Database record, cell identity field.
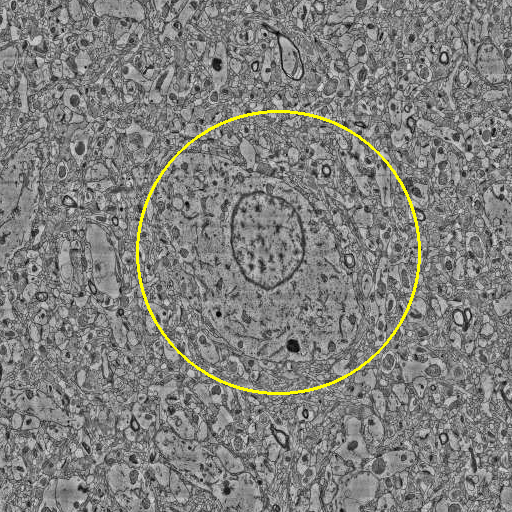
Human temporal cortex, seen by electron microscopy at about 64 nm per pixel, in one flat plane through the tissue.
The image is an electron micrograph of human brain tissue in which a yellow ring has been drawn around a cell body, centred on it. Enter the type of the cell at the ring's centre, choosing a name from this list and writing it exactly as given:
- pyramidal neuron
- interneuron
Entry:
pyramidal neuron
